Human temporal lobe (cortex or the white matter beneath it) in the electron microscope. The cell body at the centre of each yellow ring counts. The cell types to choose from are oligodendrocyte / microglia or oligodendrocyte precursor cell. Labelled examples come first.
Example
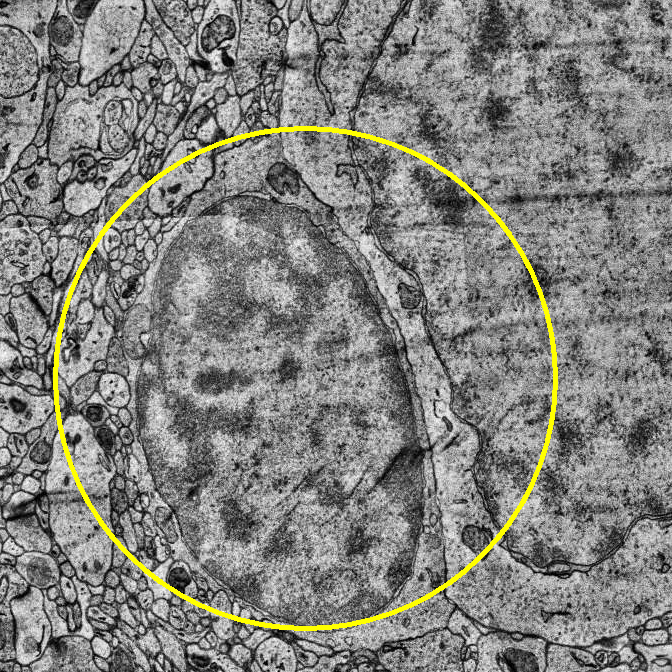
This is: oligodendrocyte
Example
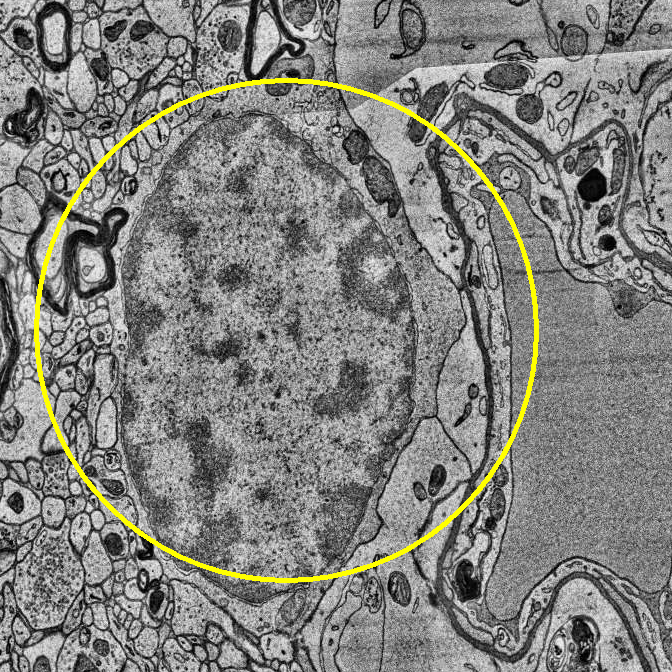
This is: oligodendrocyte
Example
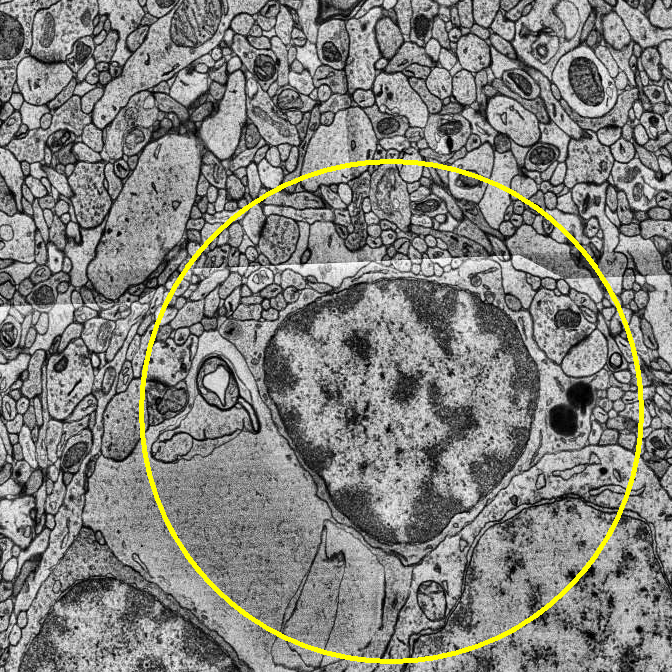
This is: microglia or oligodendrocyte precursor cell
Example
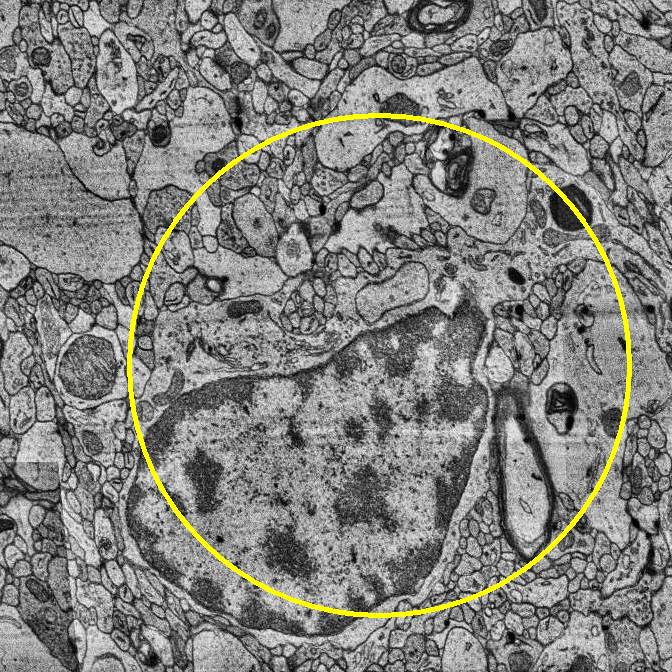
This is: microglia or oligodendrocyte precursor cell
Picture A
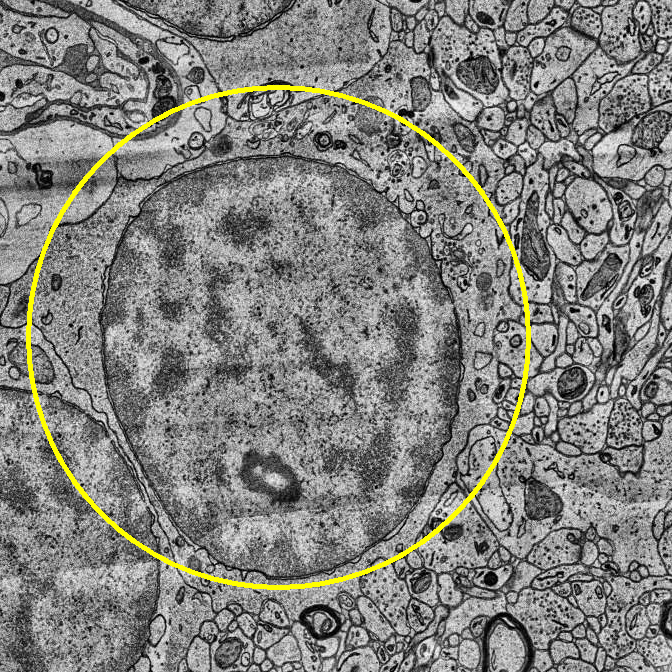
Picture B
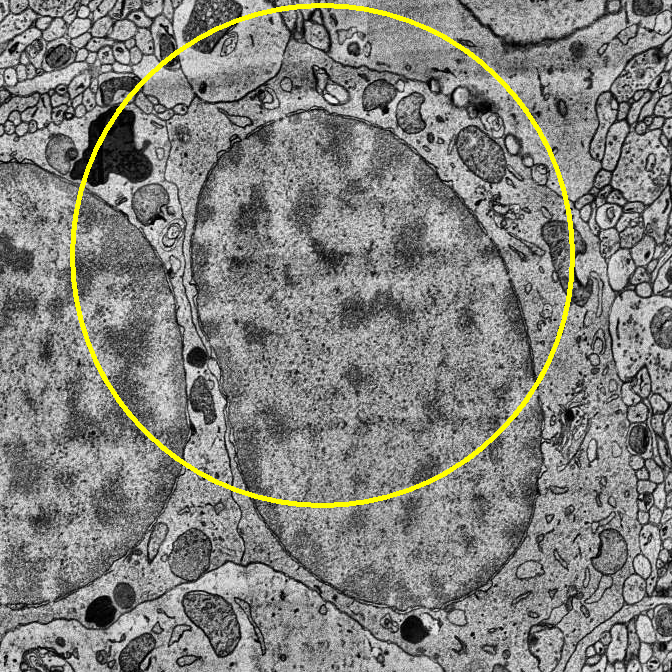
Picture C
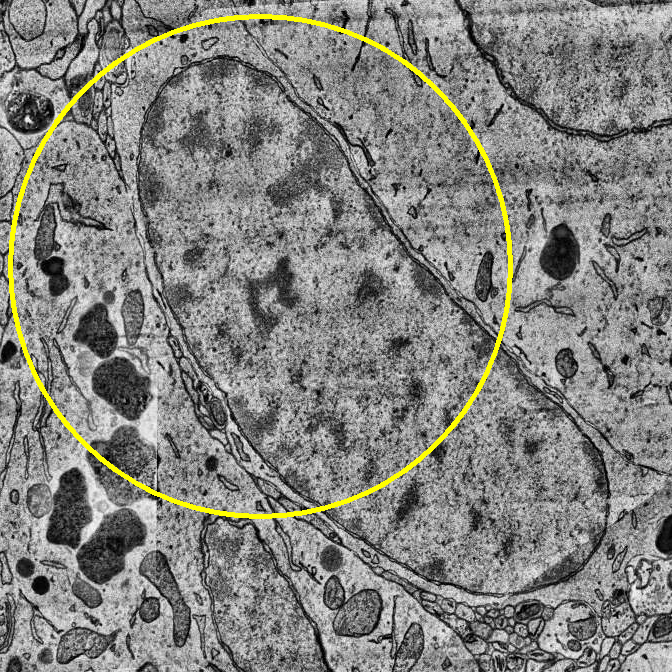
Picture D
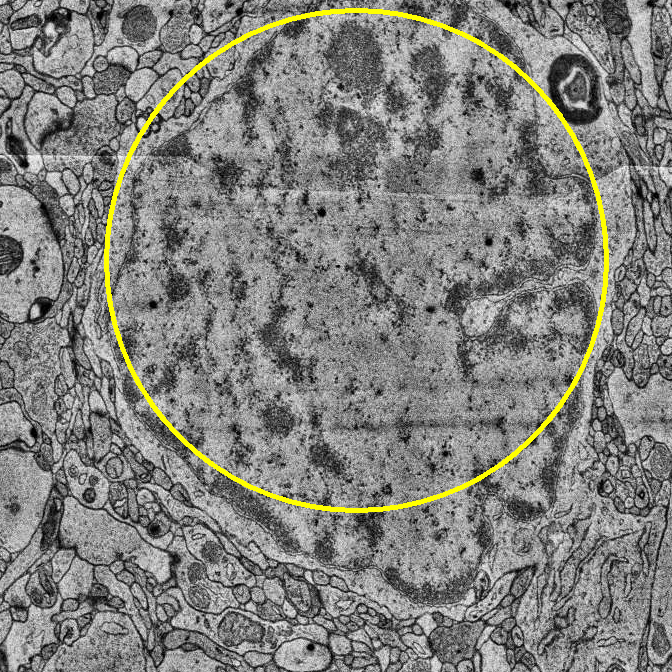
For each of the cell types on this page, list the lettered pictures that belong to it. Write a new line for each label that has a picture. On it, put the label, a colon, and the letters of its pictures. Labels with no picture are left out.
oligodendrocyte: A, B
microglia or oligodendrocyte precursor cell: C, D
